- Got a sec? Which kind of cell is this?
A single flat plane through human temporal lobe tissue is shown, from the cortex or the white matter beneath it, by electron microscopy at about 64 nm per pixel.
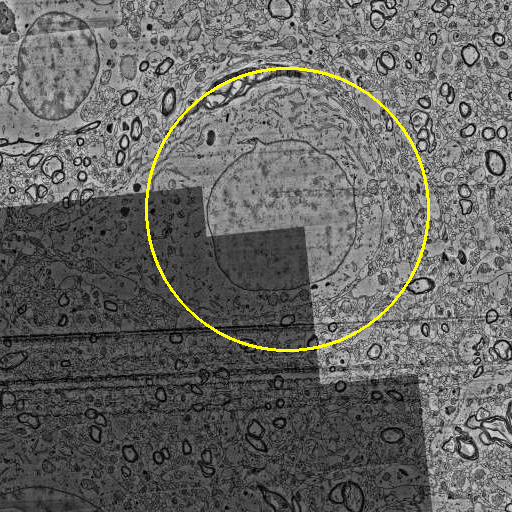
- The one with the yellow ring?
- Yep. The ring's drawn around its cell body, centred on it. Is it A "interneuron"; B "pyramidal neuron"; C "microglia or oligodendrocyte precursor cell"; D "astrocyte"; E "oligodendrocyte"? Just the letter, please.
B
